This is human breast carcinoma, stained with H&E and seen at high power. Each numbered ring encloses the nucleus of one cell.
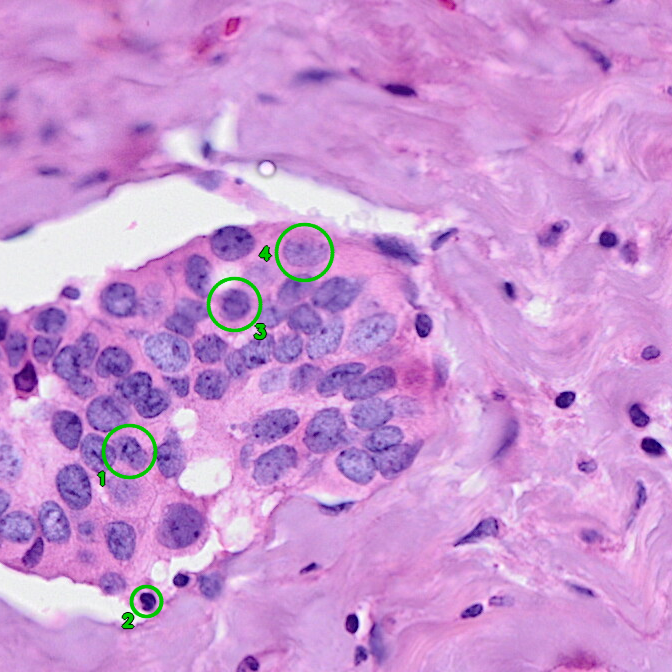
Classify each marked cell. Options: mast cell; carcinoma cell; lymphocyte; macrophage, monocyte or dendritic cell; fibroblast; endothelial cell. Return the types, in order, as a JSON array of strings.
["carcinoma cell", "lymphocyte", "carcinoma cell", "carcinoma cell"]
